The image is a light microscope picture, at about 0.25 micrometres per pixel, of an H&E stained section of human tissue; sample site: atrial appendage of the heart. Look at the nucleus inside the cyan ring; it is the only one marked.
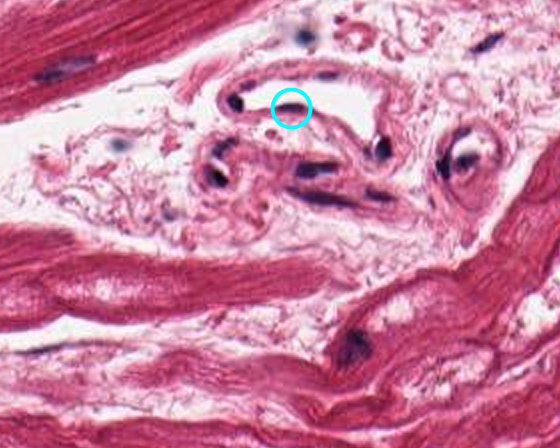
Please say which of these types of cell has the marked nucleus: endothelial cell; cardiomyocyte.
endothelial cell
